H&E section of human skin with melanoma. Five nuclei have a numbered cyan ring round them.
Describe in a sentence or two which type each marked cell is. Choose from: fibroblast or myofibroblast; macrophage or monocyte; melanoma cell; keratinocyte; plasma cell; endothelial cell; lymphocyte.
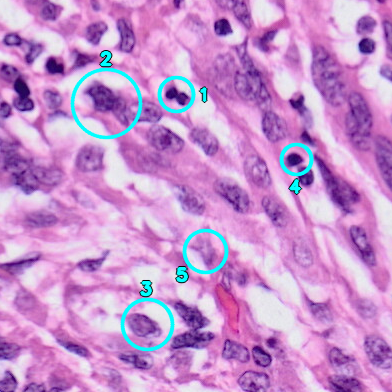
Cell 1 is a lymphocyte, cell 2 is a melanoma cell, cell 3 is a melanoma cell, cell 4 is a lymphocyte and cell 5 is a melanoma cell.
